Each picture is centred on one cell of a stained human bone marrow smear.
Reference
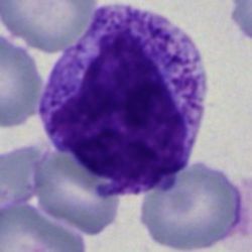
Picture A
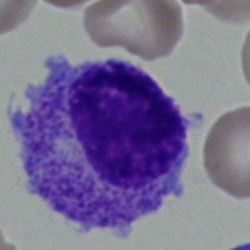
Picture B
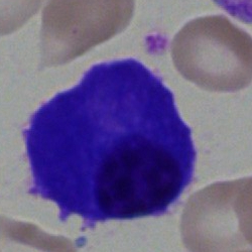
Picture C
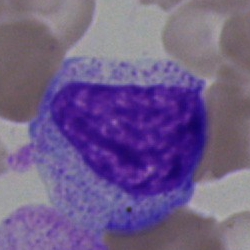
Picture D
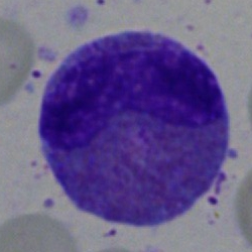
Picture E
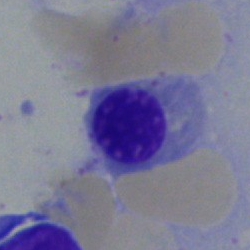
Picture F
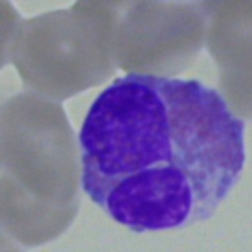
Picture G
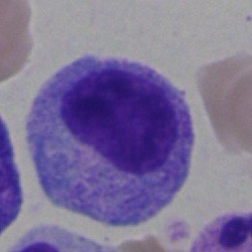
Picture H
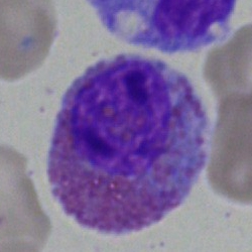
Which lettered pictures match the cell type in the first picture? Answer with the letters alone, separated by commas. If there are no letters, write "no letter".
A, C, G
